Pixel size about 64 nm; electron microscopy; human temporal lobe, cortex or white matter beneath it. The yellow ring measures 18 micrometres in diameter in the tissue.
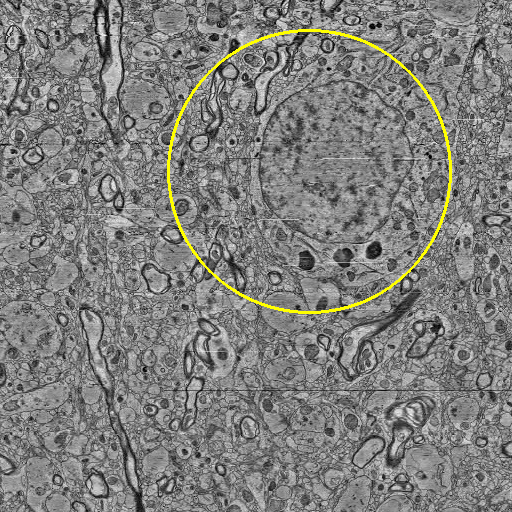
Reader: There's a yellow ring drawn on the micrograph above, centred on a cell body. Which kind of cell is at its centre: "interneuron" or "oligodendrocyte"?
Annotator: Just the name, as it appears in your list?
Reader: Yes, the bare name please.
interneuron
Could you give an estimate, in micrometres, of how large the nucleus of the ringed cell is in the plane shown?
About 10 micrometres across in this plane.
